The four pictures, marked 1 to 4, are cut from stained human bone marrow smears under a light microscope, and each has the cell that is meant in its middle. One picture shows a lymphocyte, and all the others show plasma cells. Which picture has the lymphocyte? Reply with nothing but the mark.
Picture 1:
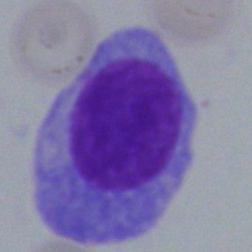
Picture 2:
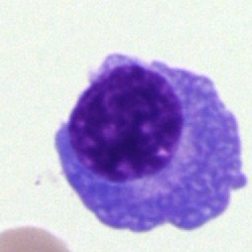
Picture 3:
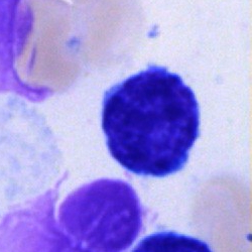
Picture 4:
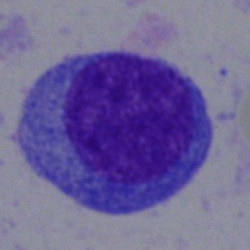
3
